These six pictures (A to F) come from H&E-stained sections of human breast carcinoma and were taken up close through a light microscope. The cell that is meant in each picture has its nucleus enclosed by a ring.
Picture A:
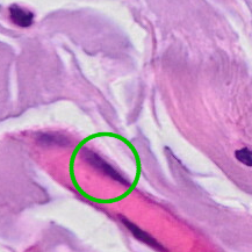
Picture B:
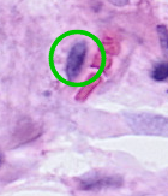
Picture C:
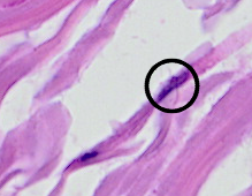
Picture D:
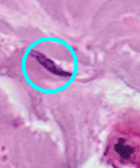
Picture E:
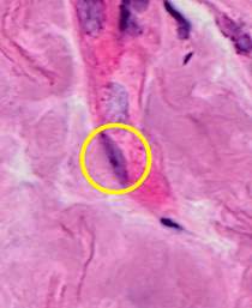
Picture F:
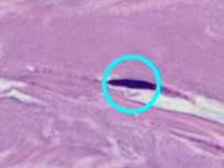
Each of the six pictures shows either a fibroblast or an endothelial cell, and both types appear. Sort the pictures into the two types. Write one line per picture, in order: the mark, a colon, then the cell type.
A: endothelial cell
B: endothelial cell
C: fibroblast
D: fibroblast
E: endothelial cell
F: fibroblast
